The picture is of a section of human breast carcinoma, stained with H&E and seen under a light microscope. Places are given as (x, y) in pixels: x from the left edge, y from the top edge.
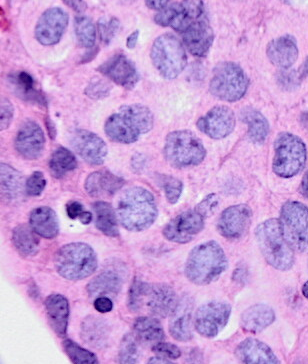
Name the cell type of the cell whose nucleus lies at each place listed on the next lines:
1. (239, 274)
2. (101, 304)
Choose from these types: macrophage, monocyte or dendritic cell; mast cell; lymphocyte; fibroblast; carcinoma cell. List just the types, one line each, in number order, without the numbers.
carcinoma cell
lymphocyte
